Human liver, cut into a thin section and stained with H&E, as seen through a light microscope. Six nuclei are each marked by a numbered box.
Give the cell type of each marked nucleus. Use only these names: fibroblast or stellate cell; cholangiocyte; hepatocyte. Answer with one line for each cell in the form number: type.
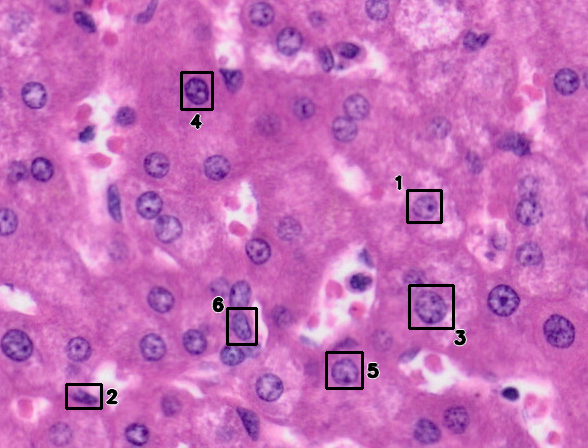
1: hepatocyte
2: fibroblast or stellate cell
3: hepatocyte
4: hepatocyte
5: hepatocyte
6: cholangiocyte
